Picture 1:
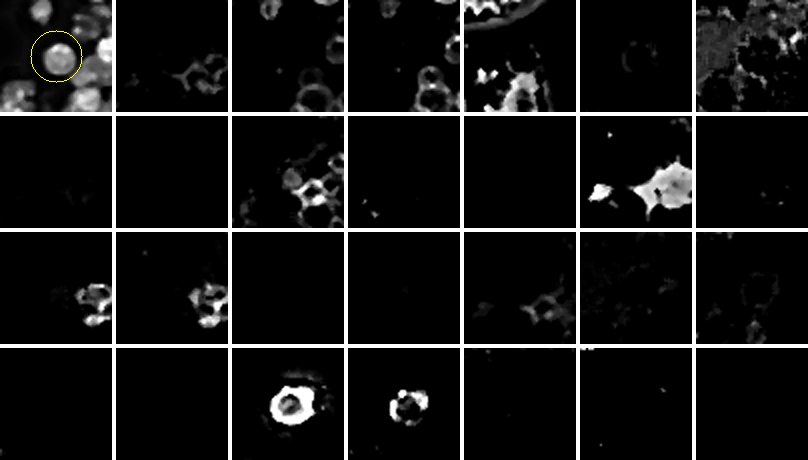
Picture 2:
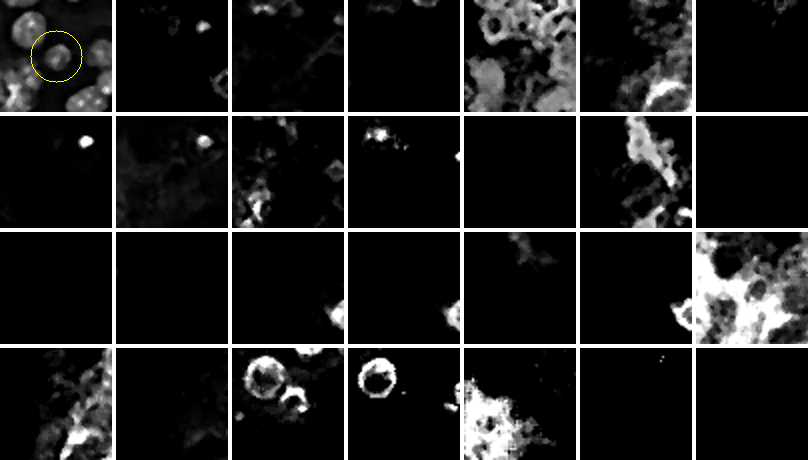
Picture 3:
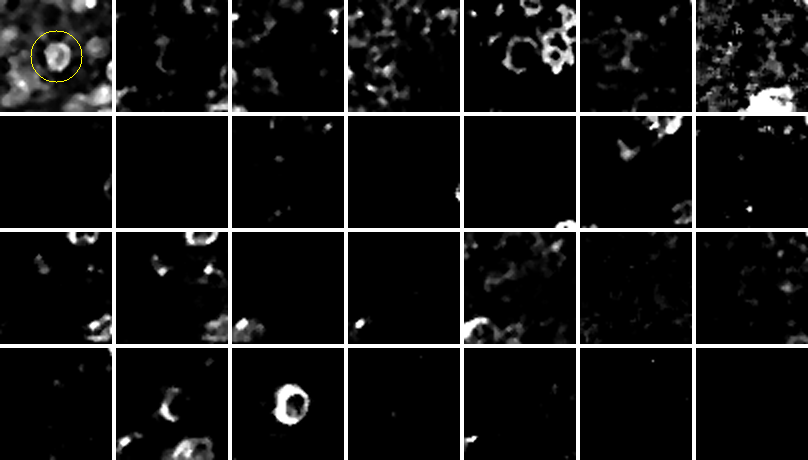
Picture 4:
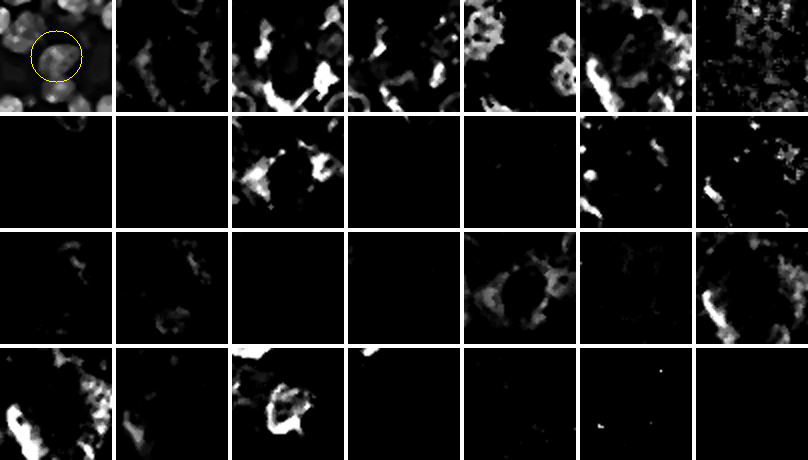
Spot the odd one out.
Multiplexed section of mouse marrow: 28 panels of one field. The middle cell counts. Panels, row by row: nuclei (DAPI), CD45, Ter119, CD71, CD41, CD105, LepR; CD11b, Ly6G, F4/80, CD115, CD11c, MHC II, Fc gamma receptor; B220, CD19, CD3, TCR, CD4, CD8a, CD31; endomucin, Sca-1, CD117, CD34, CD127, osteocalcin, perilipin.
Picture 1 (a common myeloid progenitor among megakaryocyte-erythroid progenitors).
